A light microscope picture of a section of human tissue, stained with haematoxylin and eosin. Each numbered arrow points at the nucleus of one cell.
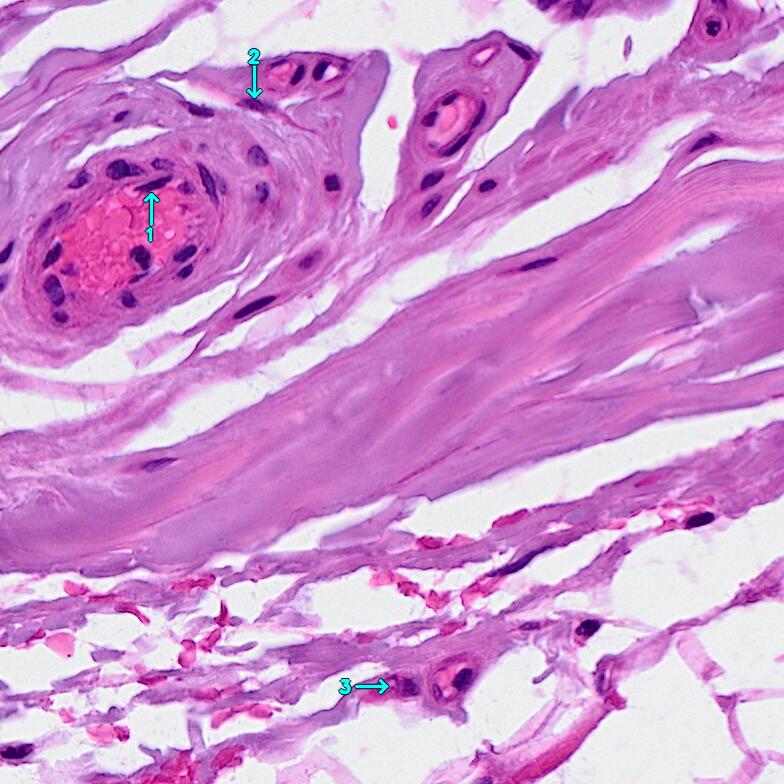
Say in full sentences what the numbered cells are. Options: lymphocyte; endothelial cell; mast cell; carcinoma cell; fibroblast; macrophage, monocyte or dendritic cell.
Cells 1 and 3 are endothelial cells. Cell 2 is a fibroblast.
